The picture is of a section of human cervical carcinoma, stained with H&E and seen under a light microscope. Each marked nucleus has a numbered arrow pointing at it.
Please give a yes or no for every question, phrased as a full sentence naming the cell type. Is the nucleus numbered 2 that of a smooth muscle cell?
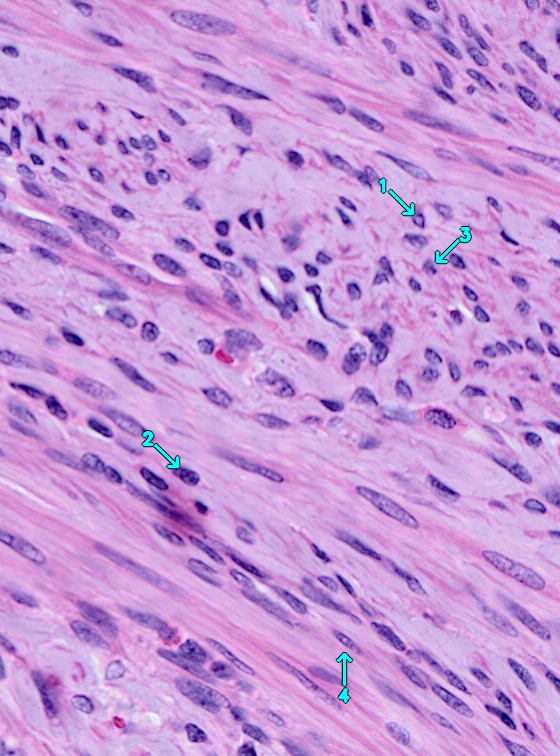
No, the cell carrying number 2 is a lymphocyte, not a smooth muscle cell.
